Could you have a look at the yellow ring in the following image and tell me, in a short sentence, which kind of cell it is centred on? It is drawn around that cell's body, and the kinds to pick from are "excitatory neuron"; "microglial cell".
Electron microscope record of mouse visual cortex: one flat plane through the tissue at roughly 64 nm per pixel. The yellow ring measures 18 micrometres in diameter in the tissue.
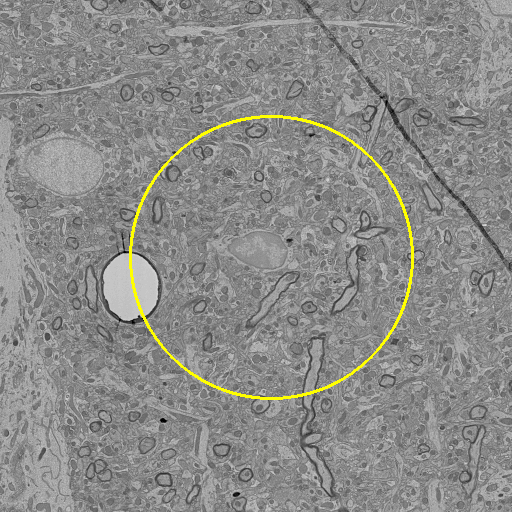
The ring is centred on the body of a microglial cell.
